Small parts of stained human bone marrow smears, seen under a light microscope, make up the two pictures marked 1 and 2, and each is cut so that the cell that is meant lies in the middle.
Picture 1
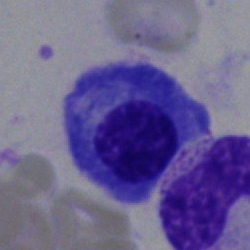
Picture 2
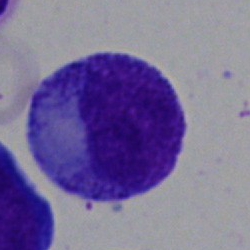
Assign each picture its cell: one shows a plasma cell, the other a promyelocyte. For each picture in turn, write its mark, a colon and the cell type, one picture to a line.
1: plasma cell
2: promyelocyte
